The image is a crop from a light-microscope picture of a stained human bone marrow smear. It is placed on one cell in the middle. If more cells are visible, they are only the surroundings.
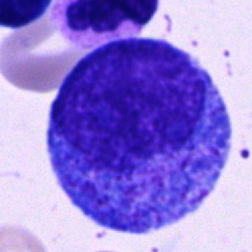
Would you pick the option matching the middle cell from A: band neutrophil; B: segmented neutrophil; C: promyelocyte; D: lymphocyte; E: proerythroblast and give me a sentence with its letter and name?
The middle of the crop contains a promyelocyte, so option C is right.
